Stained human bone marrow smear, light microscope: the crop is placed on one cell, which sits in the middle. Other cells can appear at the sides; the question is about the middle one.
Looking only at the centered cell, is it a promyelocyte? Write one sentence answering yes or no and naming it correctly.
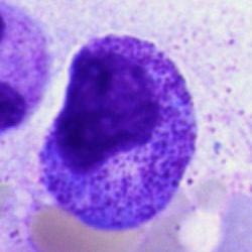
Yes, the middle cell in this crop is a promyelocyte.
